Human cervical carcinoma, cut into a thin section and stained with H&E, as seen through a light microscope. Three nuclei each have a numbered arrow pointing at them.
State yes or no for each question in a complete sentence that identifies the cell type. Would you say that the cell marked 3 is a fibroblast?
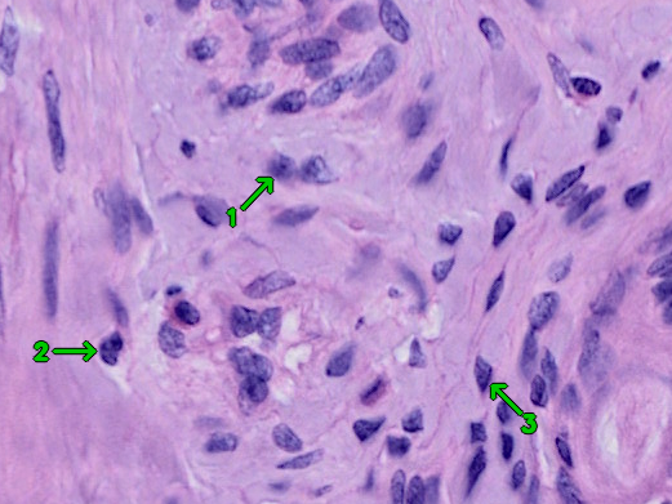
Yes, the numbered nucleus 3 is that of a fibroblast.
